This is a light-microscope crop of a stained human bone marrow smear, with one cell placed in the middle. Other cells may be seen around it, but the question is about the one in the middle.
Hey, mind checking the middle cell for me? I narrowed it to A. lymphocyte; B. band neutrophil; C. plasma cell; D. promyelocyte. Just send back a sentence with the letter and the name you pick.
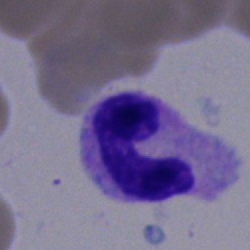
Option B correctly names the cell in the middle as a band neutrophil.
